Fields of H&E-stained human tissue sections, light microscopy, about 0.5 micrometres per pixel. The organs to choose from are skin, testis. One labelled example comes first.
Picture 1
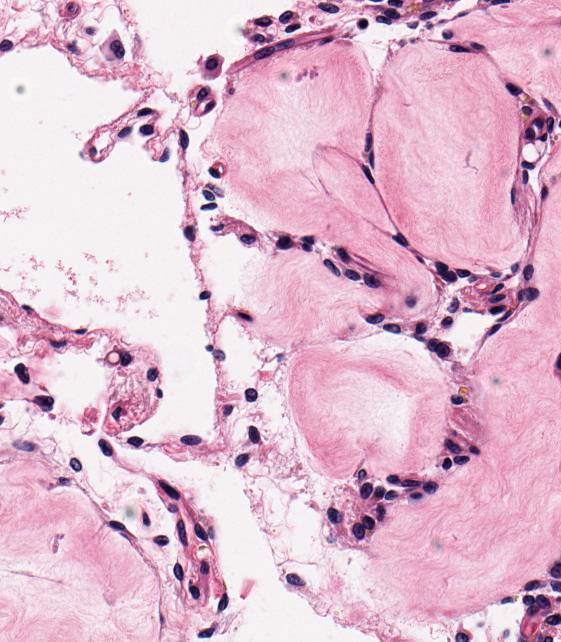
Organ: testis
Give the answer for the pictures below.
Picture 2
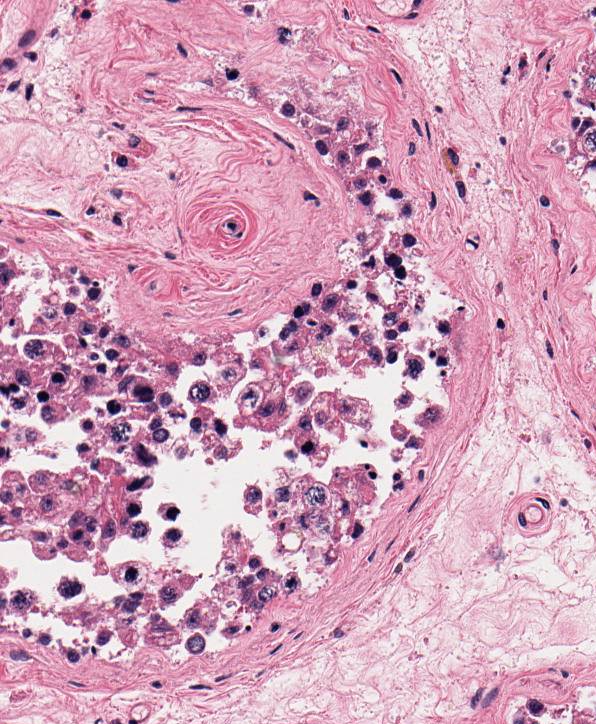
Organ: testis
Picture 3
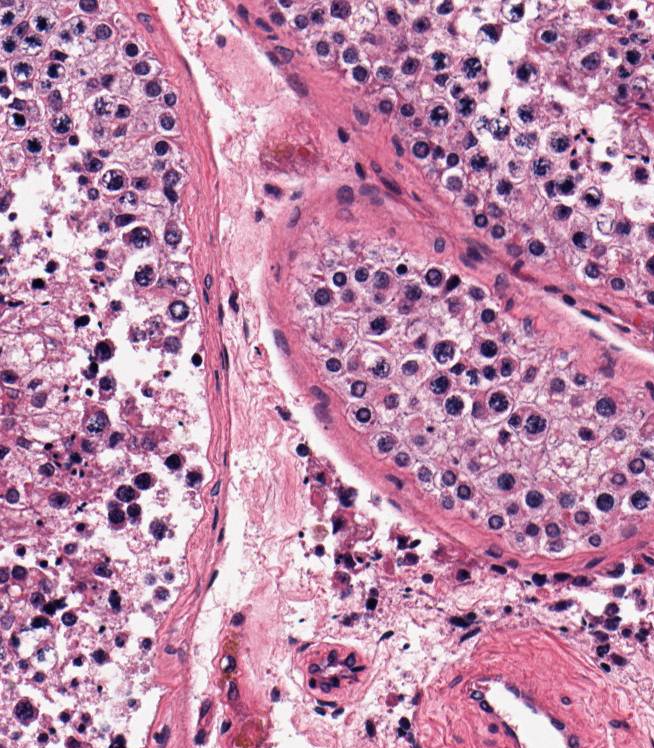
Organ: testis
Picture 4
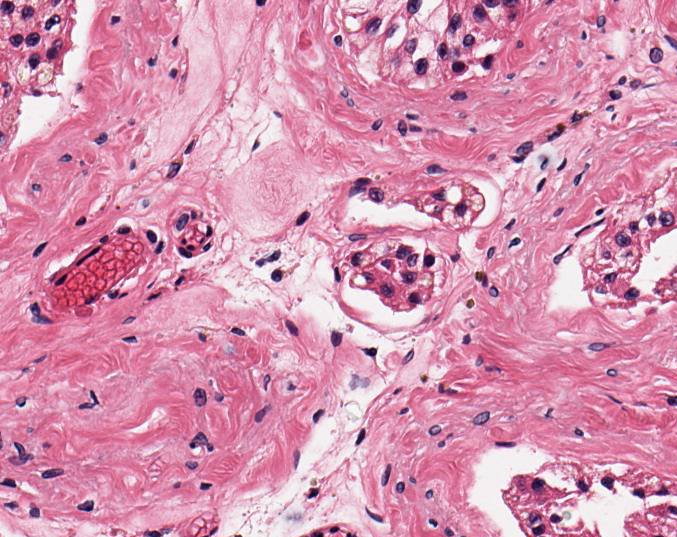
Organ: testis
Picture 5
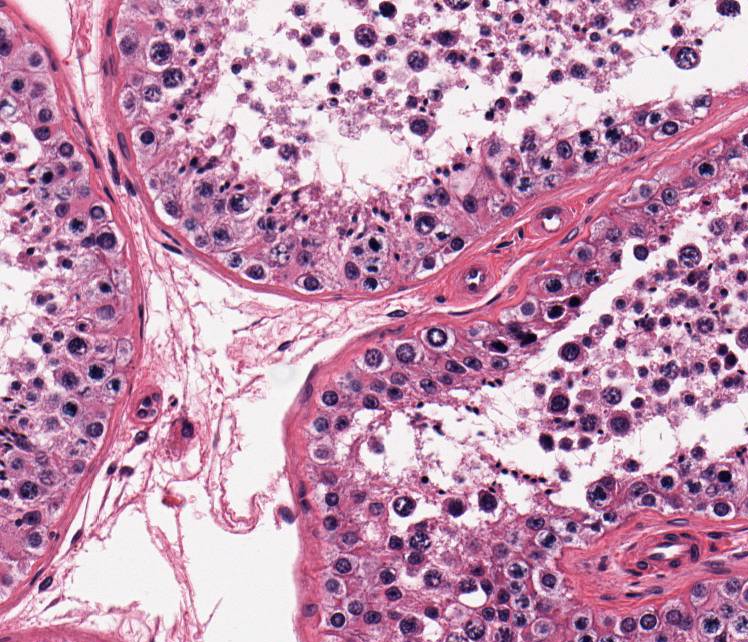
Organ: testis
